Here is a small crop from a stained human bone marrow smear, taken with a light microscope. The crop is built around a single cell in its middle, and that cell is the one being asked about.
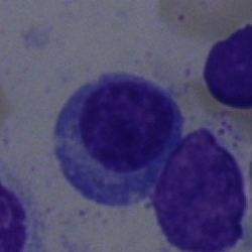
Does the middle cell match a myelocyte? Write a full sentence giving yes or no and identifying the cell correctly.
No, the central cell isn't a myelocyte, but a plasma cell.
